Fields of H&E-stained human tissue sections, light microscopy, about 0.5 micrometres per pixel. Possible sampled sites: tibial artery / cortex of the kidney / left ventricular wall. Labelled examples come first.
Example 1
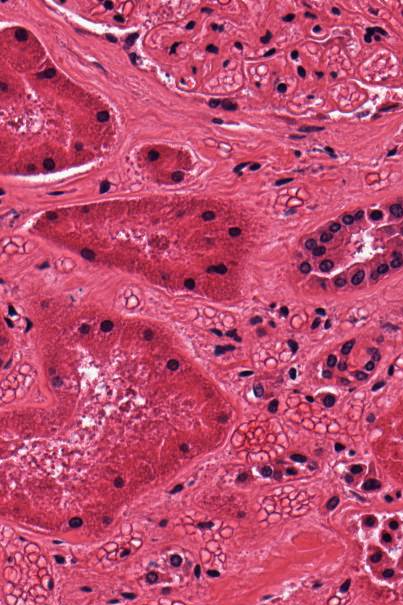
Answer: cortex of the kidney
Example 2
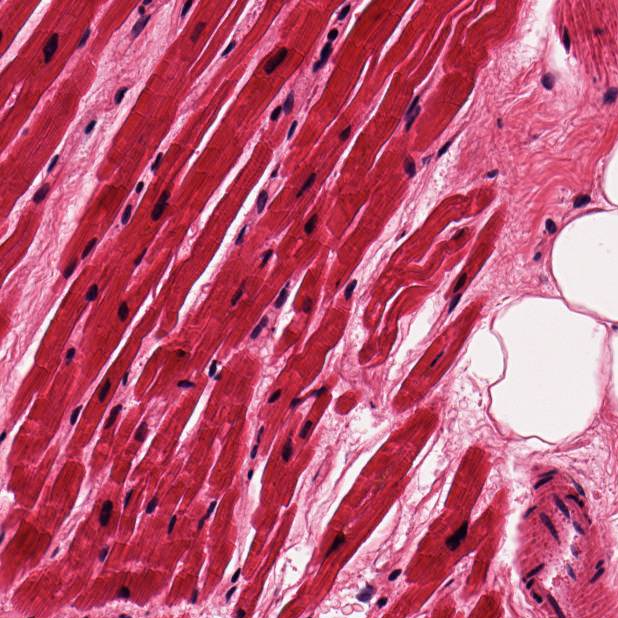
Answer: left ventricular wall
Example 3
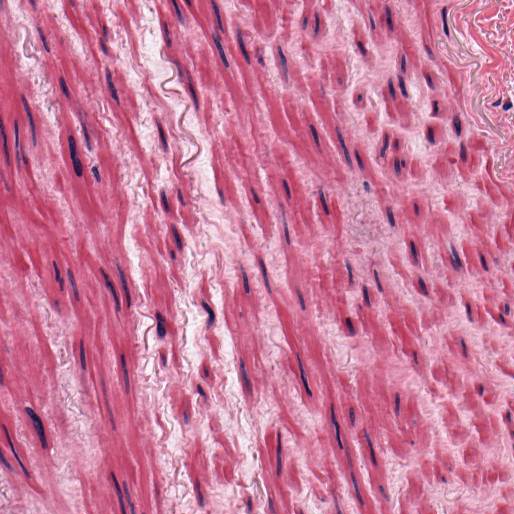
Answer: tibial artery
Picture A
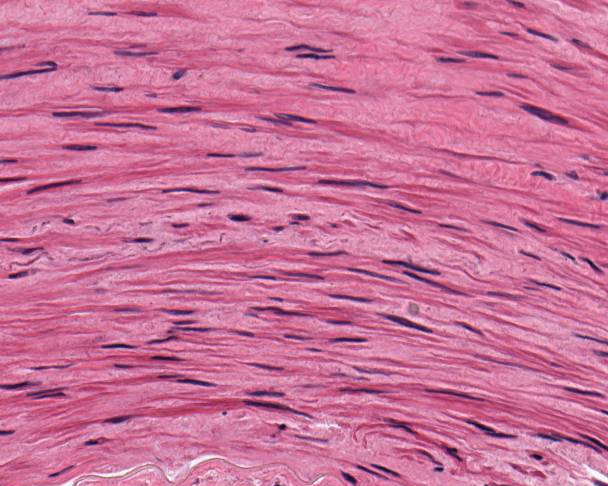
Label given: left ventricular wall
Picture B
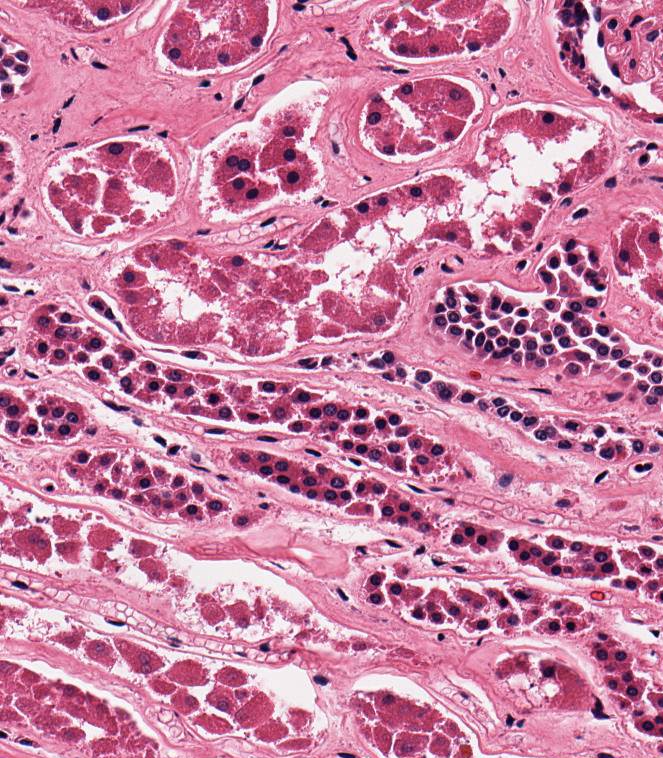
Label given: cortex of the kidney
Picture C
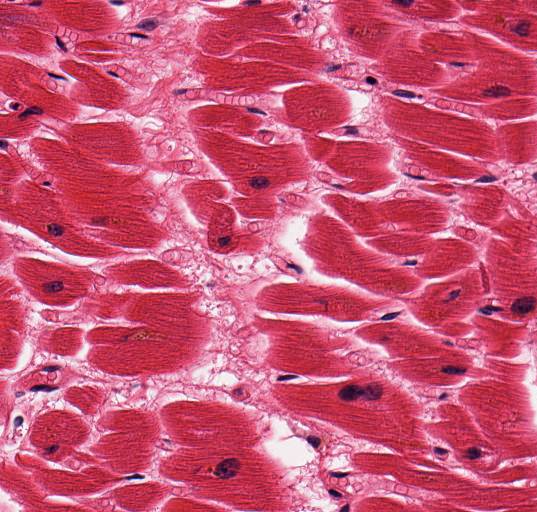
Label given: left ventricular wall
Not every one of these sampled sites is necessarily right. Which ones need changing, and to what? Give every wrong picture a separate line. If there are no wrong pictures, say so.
A is labelled left ventricular wall; correct label: tibial artery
